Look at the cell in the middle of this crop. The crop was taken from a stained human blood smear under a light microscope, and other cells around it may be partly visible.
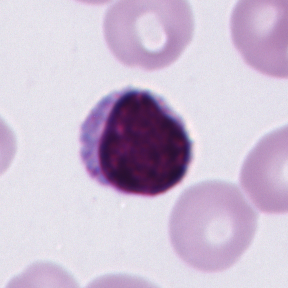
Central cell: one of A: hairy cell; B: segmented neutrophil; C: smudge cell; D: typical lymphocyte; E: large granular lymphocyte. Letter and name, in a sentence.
The centrally located cell is a large granular lymphocyte, making option E the correct choice.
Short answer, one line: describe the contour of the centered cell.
Nothing juts out from the margin, which is smooth throughout.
